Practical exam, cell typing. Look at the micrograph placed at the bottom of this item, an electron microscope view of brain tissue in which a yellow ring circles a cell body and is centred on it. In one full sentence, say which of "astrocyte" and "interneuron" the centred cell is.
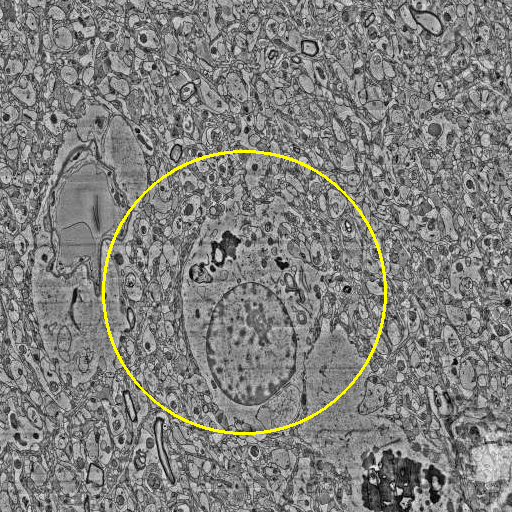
Given the options, an astrocyte fits the cell whose body the yellow ring is centred on.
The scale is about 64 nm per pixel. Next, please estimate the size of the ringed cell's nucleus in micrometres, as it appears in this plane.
The nucleus comes to roughly 8 by 6 micrometres in this plane.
